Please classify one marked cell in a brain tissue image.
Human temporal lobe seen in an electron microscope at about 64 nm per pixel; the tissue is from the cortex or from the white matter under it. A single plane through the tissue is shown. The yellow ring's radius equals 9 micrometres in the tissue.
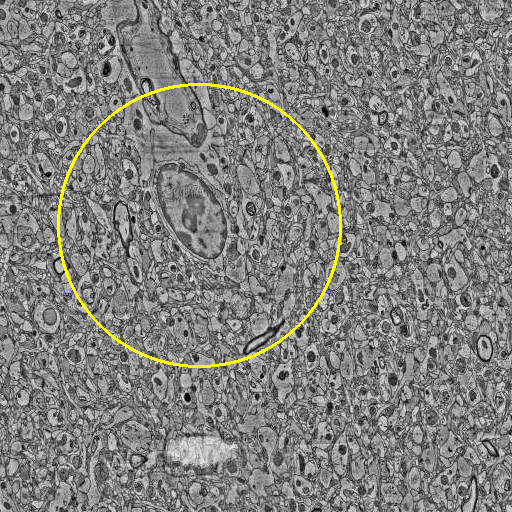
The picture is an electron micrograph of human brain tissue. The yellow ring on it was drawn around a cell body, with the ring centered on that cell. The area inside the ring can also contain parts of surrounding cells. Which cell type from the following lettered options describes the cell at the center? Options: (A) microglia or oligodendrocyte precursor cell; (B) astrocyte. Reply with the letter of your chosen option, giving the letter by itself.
A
